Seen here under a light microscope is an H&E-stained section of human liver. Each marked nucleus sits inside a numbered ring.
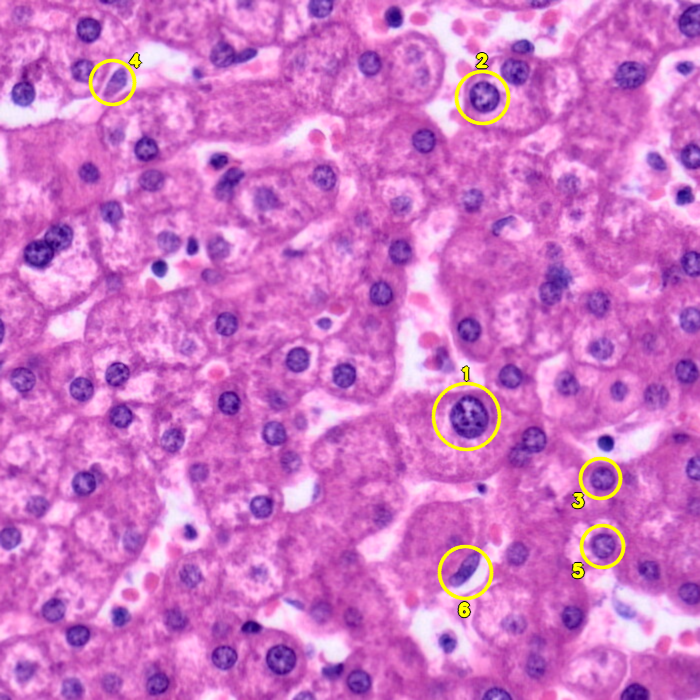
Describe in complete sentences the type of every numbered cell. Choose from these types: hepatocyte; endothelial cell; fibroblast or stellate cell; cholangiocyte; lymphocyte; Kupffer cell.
Cells 1, 2, 3 and 5 are hepatocytes. Cells 4 and 6 are Kupffer cells.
